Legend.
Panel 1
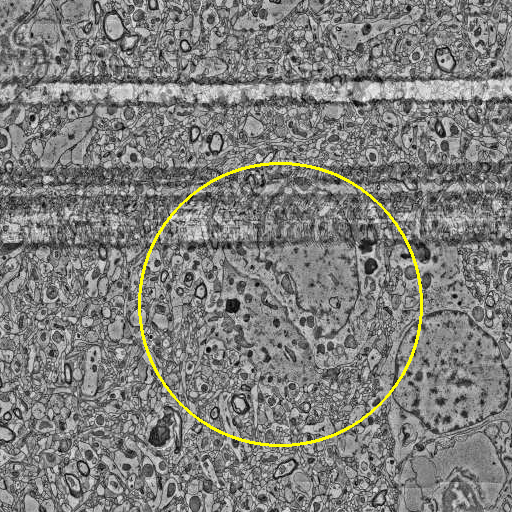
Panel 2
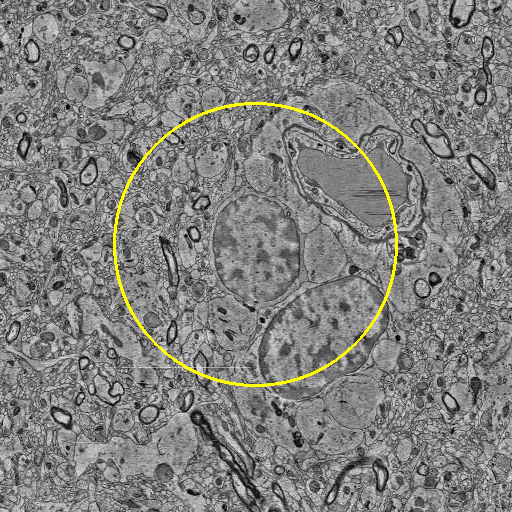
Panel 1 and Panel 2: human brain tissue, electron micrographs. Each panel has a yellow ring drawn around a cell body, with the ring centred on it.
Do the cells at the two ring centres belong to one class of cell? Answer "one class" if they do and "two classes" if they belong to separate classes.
one class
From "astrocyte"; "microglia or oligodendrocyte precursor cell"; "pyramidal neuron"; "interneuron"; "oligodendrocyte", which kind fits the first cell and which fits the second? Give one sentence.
The ring centre holds an oligodendrocyte in each of the two pictures.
